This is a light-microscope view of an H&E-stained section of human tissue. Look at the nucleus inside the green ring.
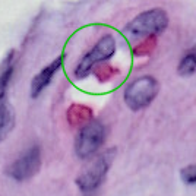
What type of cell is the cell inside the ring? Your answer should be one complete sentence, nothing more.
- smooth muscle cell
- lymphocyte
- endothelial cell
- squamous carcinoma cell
In short, the cell inside the ring on this section is an endothelial cell.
